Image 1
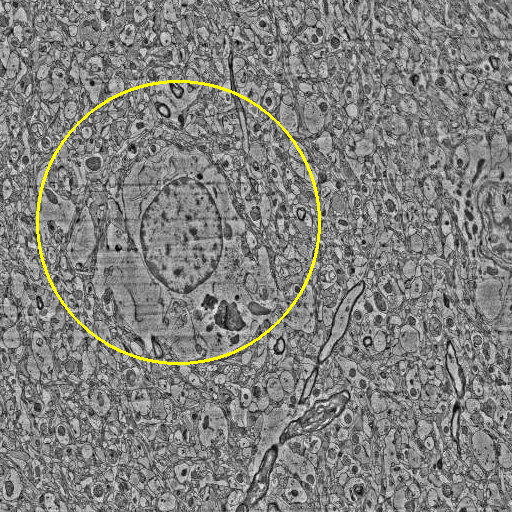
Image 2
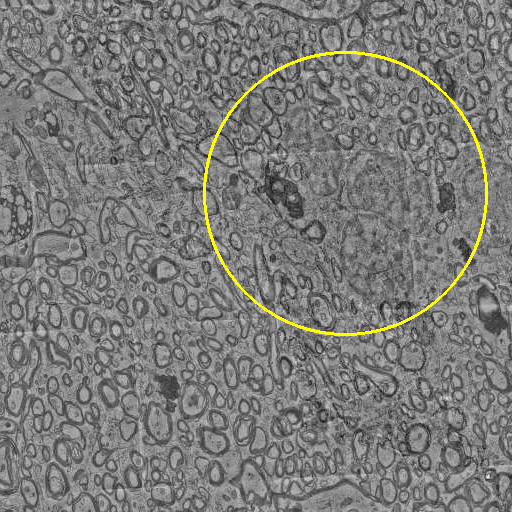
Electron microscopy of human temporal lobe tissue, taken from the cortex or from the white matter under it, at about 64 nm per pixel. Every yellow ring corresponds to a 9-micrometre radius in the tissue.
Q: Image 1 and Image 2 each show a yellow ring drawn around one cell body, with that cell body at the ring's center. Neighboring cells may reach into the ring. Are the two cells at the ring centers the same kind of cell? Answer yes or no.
no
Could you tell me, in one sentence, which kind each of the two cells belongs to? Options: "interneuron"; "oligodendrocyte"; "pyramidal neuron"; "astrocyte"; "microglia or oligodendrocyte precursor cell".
At the centre of the first ring sits an astrocyte, and at the centre of the second sits an oligodendrocyte.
